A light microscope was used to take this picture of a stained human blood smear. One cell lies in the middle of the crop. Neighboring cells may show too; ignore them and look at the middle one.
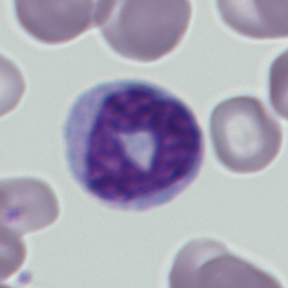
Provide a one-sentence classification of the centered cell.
Framed in the middle of the crop is a monocyte.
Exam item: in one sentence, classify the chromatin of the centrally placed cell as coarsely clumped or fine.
Here the nuclear chromatin is coarsely clumped.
